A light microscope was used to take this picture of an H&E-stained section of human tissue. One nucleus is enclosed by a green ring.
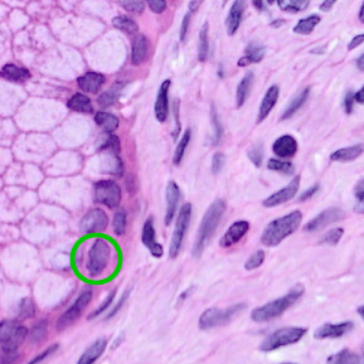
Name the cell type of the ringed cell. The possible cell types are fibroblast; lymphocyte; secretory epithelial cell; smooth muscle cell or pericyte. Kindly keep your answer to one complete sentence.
Considered by cell type, the ringed cell is a secretory epithelial cell.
